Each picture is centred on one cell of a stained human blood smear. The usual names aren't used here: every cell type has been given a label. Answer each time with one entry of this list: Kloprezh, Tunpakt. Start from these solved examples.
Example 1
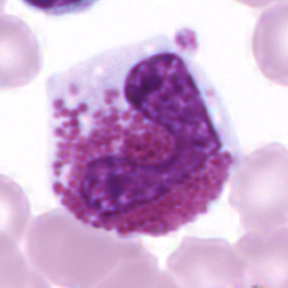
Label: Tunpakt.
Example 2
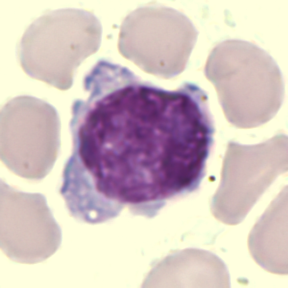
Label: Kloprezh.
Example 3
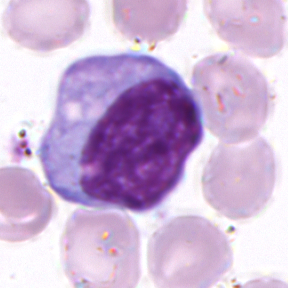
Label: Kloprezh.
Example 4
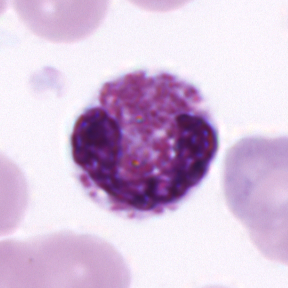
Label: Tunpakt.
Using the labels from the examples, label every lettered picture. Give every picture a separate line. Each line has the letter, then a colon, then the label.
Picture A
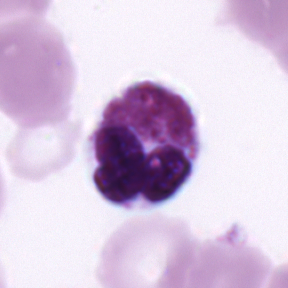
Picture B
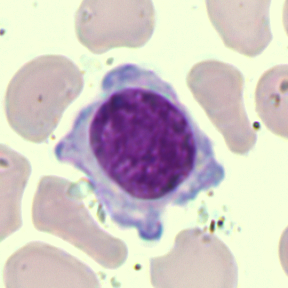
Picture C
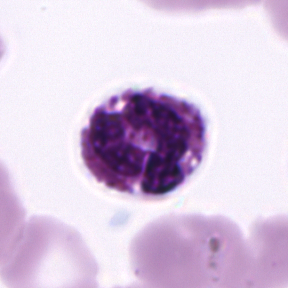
A: Tunpakt.
B: Kloprezh.
C: Tunpakt.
